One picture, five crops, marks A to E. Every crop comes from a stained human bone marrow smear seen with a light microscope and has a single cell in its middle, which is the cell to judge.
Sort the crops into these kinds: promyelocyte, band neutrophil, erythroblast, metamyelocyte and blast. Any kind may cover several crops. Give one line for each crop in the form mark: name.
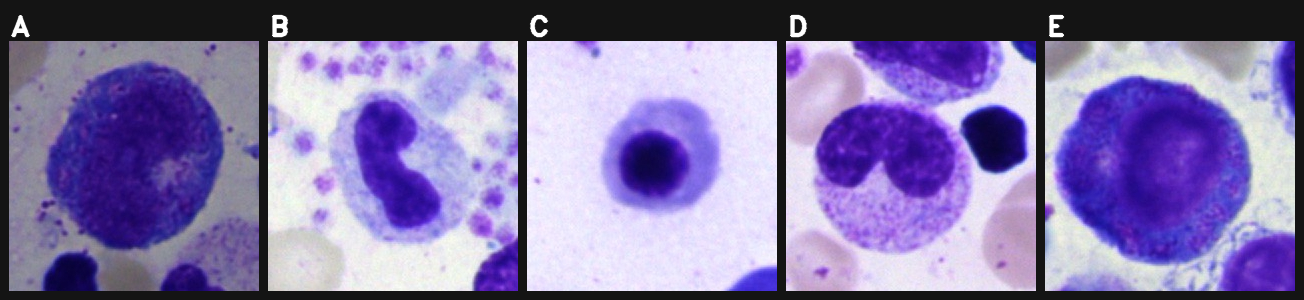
A: promyelocyte
B: band neutrophil
C: erythroblast
D: metamyelocyte
E: promyelocyte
